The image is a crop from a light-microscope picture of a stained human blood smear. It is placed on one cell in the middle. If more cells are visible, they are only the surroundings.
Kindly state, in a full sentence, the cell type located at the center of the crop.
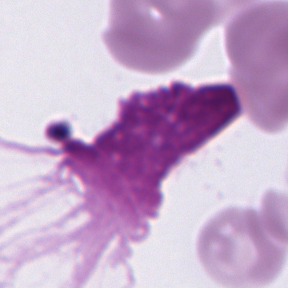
The cell in the middle of this crop is a smudge cell.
